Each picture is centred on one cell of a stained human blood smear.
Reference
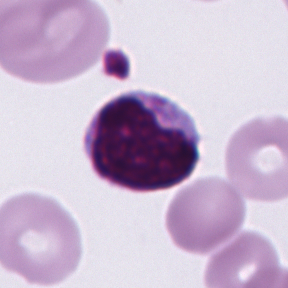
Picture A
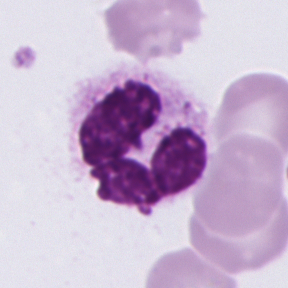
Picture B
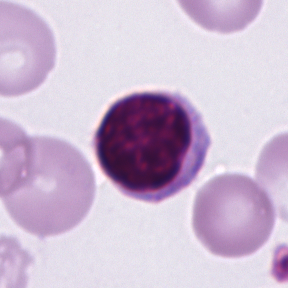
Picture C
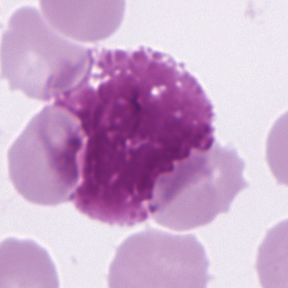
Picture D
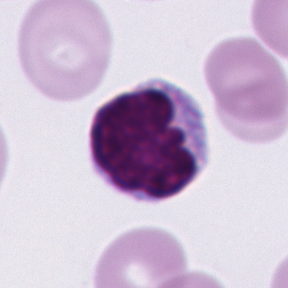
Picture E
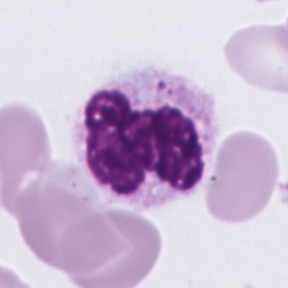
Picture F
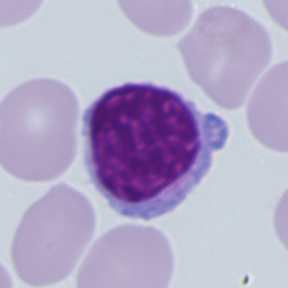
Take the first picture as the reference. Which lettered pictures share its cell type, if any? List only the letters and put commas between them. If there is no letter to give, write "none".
B, D, F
